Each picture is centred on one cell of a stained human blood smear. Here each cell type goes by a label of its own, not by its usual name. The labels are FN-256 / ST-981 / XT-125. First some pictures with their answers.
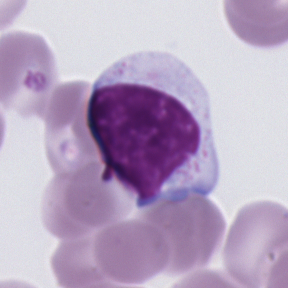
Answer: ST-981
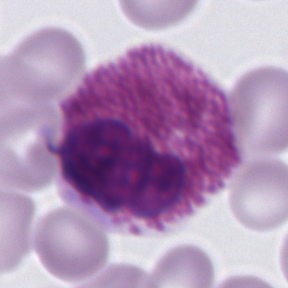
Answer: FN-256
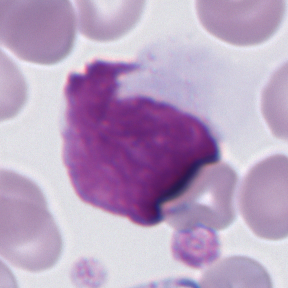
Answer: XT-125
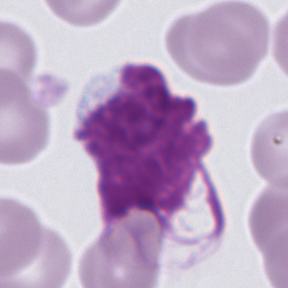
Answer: XT-125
